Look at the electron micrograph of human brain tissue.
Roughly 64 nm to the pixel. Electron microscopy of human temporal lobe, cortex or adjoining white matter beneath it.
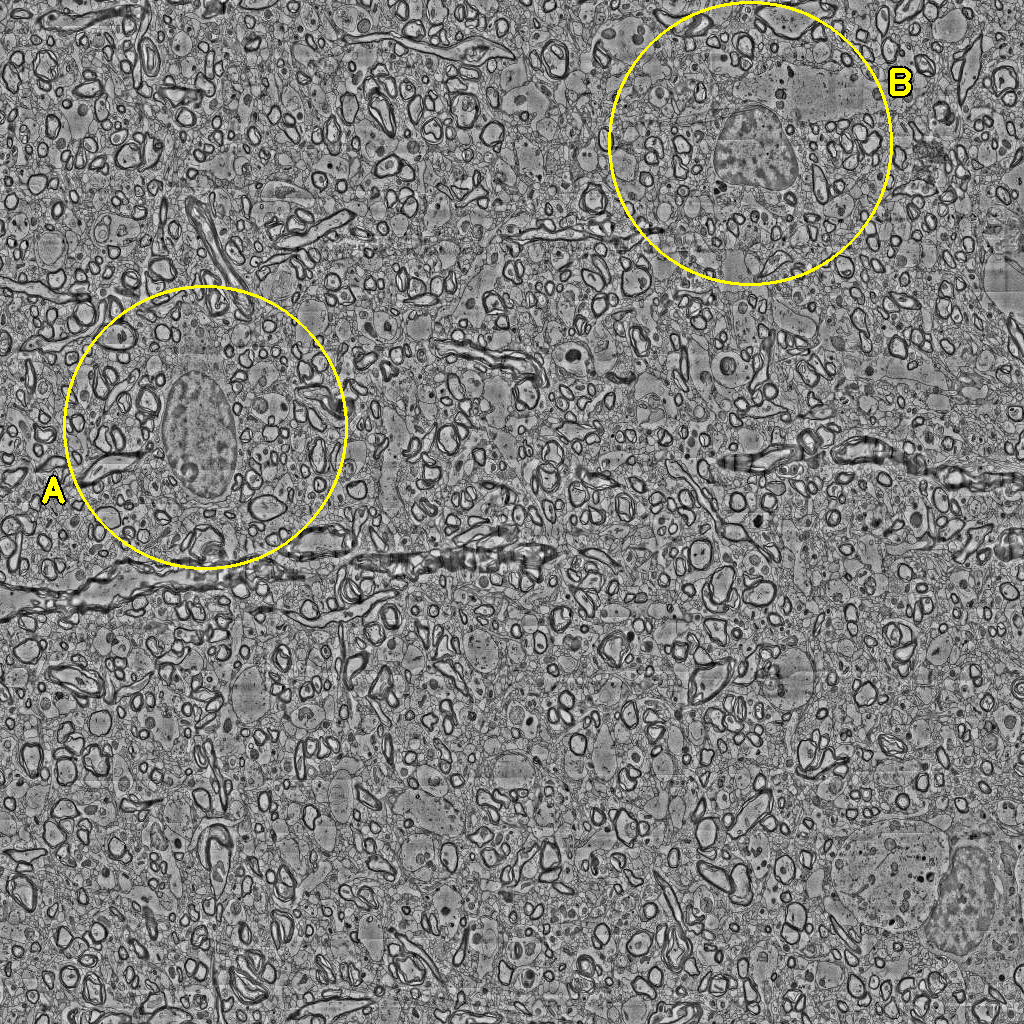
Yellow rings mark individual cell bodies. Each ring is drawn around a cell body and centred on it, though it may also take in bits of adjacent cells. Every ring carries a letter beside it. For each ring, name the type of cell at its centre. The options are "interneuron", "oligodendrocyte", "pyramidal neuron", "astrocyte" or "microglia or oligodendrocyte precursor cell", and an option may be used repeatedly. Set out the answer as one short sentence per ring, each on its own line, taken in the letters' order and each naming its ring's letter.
Ring A is drawn around an oligodendrocyte.
Ring B is drawn around a microglial cell or oligodendrocyte precursor cell.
